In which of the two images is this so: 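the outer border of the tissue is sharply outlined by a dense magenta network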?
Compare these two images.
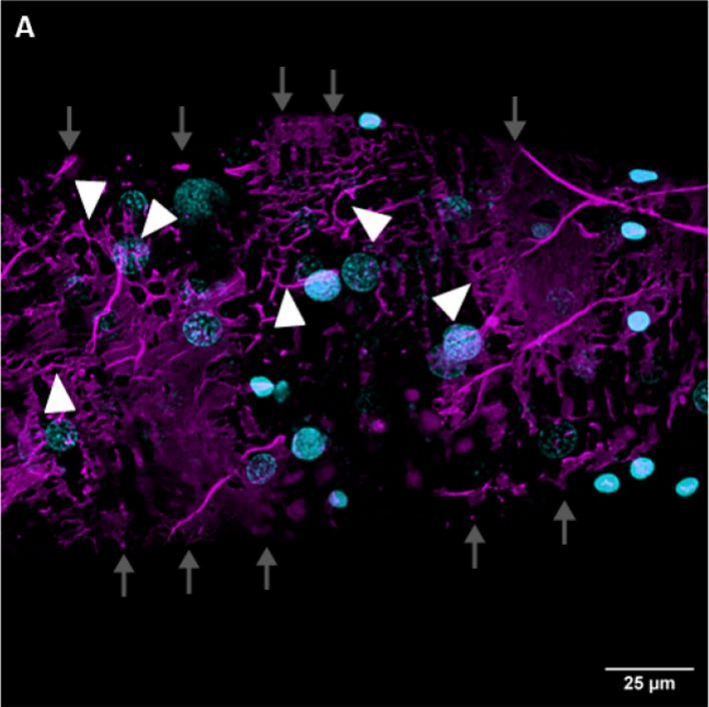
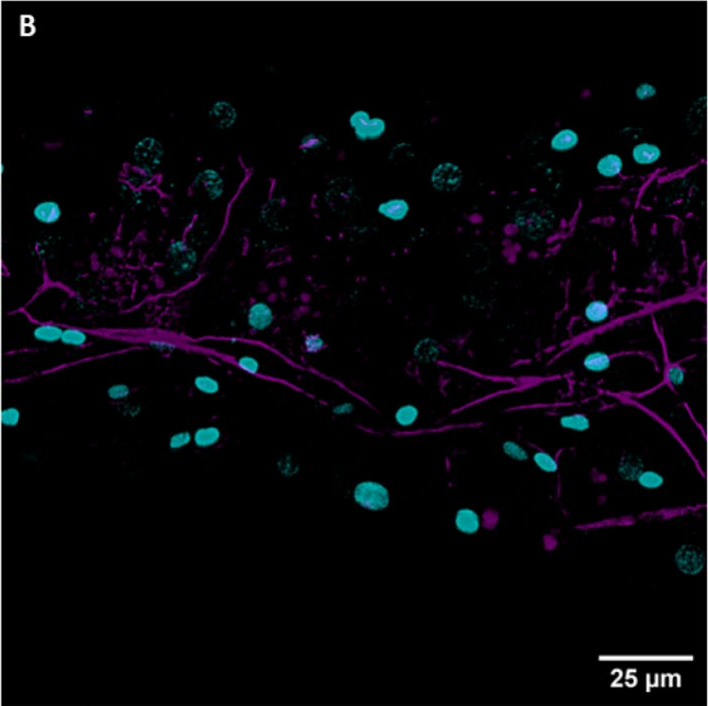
The first image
